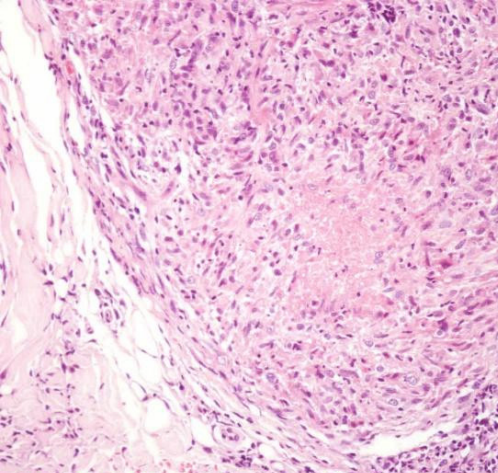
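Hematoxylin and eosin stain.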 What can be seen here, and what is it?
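A rounded nodule sits in fibrous tissue, made of pale pink cells with elongated, oval nuclei and ill-defined cell borders, arranged somewhat whorled around a central zone. The centre is pale pink and amorphous, with few nuclei left, unlike the cellular periphery. At the edge of the nodule a rim of smaller cells with dark round nuclei forms a collar, and outside it lie strands of pink collagen with spindle cells. This is granulomatous inflammation: a granuloma of epithelioid histiocytes rimmed by lymphocytes, with a small focus of necrosis in its middle.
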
